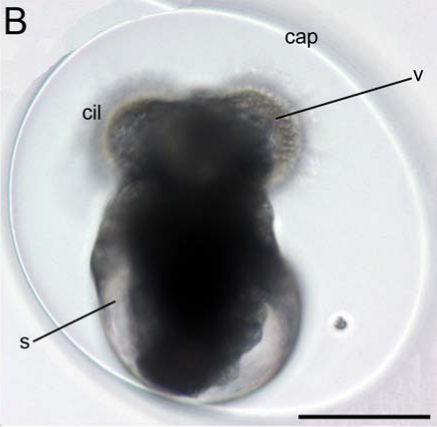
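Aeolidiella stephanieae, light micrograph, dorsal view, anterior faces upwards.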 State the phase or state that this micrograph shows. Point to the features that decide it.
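A larva with a ciliated bilobed velum at the anterior end. A thin shell encloses the posterior body. The larva still lies within a capsule.
Hence: Early veliger stage larva.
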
